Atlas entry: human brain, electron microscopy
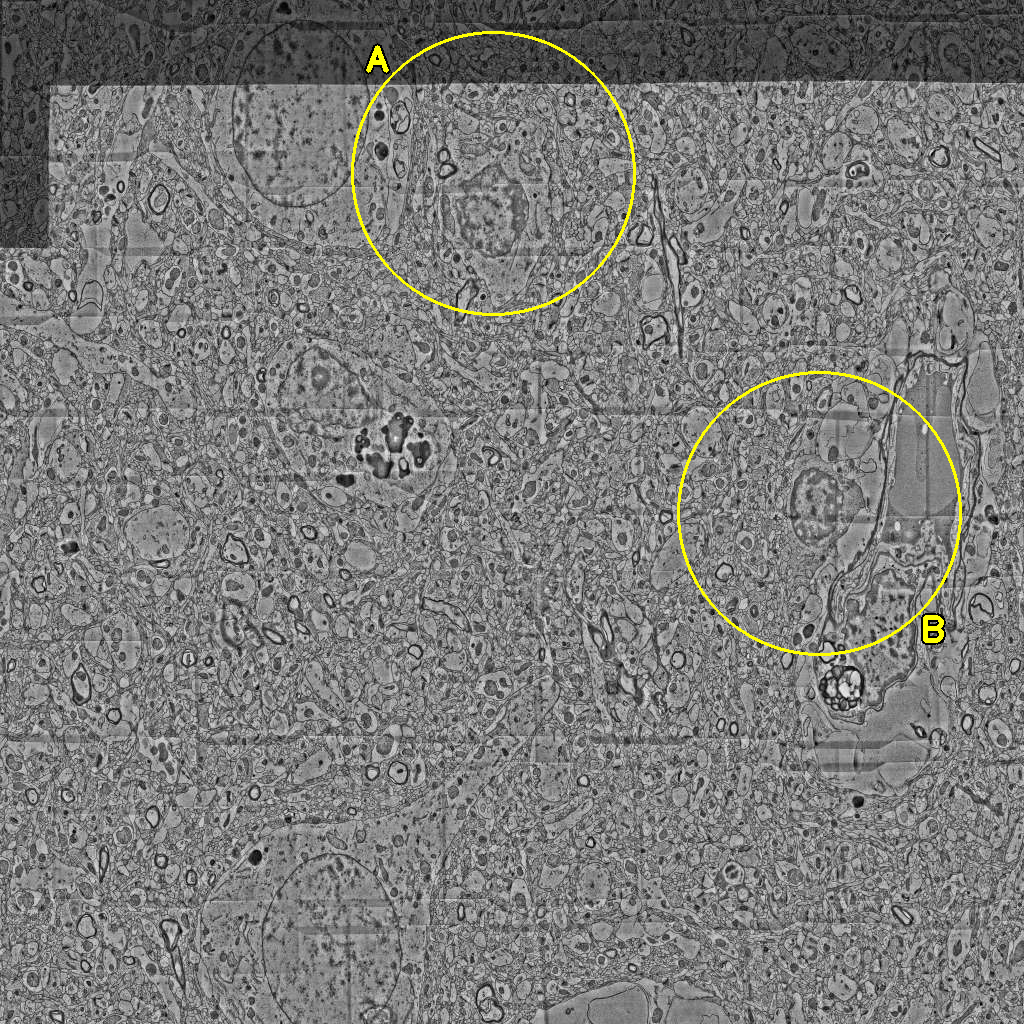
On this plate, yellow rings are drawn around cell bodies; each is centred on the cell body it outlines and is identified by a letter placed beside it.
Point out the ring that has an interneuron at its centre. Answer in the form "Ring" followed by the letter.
Ring A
